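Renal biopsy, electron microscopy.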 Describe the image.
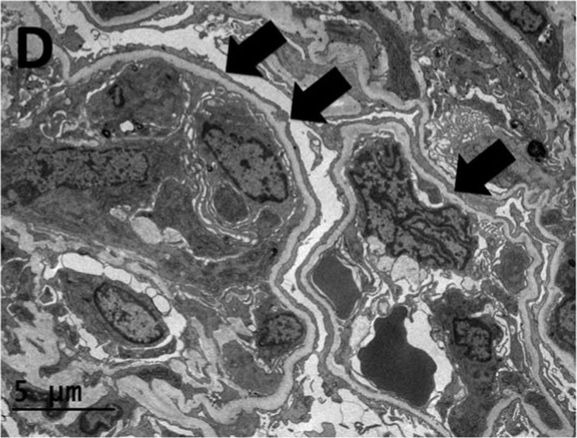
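This electron micrograph shows glomerular peripheral capillary loops, each bounded by a grey basement membrane. On the inner side of the membranes lie large endothelial cells with big nuclei and abundant cytoplasm that crowd the capillary spaces and leave only narrow lumens, one holding a dark red blood cell. On the outer side, podocyte cytoplasm lies as a continuous flattened layer along the membrane rather than as separate small foot processes. The basement membranes appear single, without a second layer or cells inserted into them.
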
